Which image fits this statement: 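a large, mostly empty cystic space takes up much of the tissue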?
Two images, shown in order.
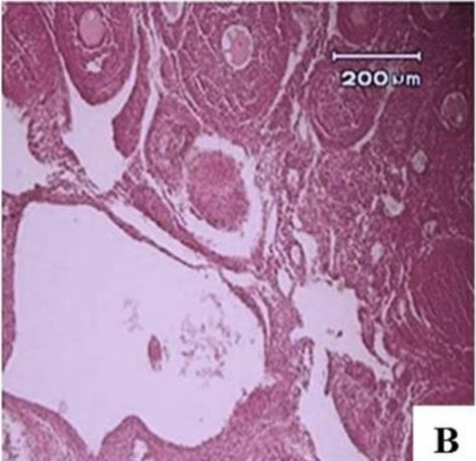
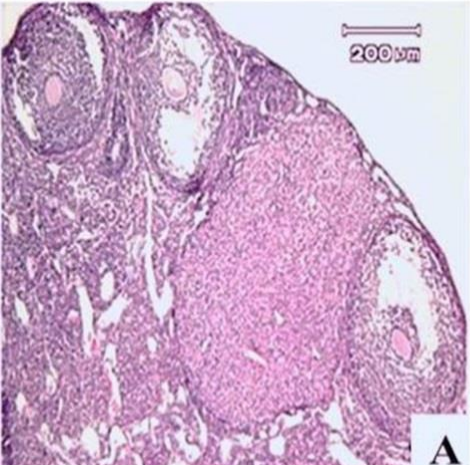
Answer: The first image.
